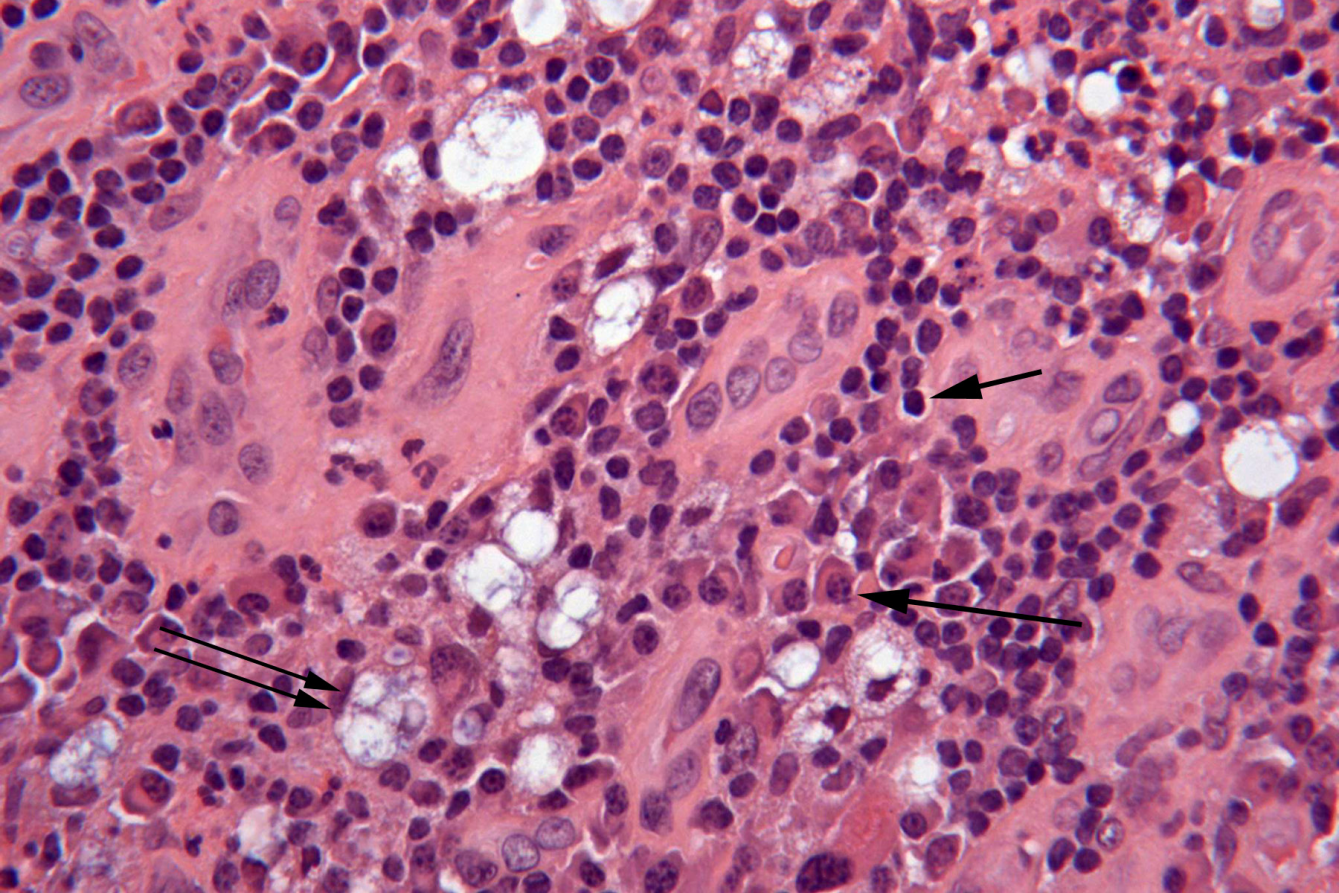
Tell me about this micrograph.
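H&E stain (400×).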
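A dense mixed inflammatory infiltrate fills the field, made up of many small round lymphocytes with dark round nuclei and scant cytoplasm, along with plasma cells with round nuclei placed to one side and more cytoplasm. Scattered among them are large vacuolated macrophages whose cytoplasm is pale, clear and bubbly. Bands of pink-staining cells with larger, paler oval nuclei run through the infiltrate.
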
